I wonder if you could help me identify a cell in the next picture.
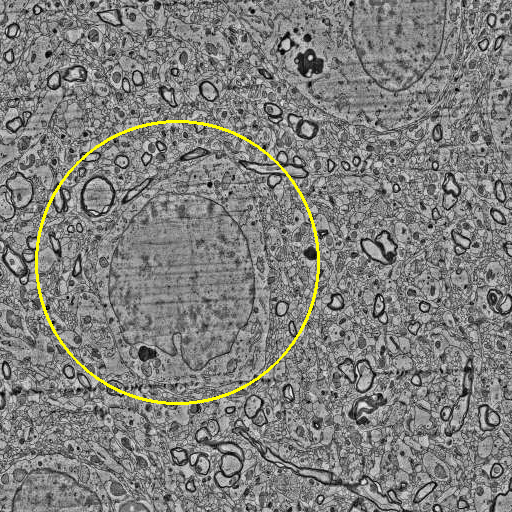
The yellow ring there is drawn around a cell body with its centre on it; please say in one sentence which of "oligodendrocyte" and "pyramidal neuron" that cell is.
The yellow ring is centred on a pyramidal neuron.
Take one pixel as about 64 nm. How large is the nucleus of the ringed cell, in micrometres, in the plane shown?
The ringed cell's nucleus measures approximately 11 by 9 micrometres in this plane.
